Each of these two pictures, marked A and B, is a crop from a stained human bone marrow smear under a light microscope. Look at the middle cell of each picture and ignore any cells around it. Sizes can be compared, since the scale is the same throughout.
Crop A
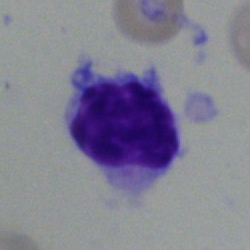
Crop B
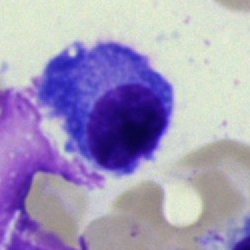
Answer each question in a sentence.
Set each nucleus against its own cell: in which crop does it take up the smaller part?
Of the two, the nucleus in crop B leaves more room for cytoplasm.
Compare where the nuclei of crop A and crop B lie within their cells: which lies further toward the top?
The nucleus in crop A lies further toward the top of its cell.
